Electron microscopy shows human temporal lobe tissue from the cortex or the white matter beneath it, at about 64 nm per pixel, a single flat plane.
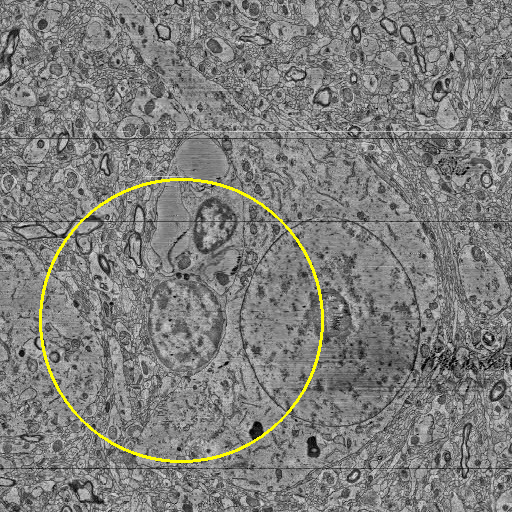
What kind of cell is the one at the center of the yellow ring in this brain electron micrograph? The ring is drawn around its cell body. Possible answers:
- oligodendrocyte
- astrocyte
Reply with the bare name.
oligodendrocyte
